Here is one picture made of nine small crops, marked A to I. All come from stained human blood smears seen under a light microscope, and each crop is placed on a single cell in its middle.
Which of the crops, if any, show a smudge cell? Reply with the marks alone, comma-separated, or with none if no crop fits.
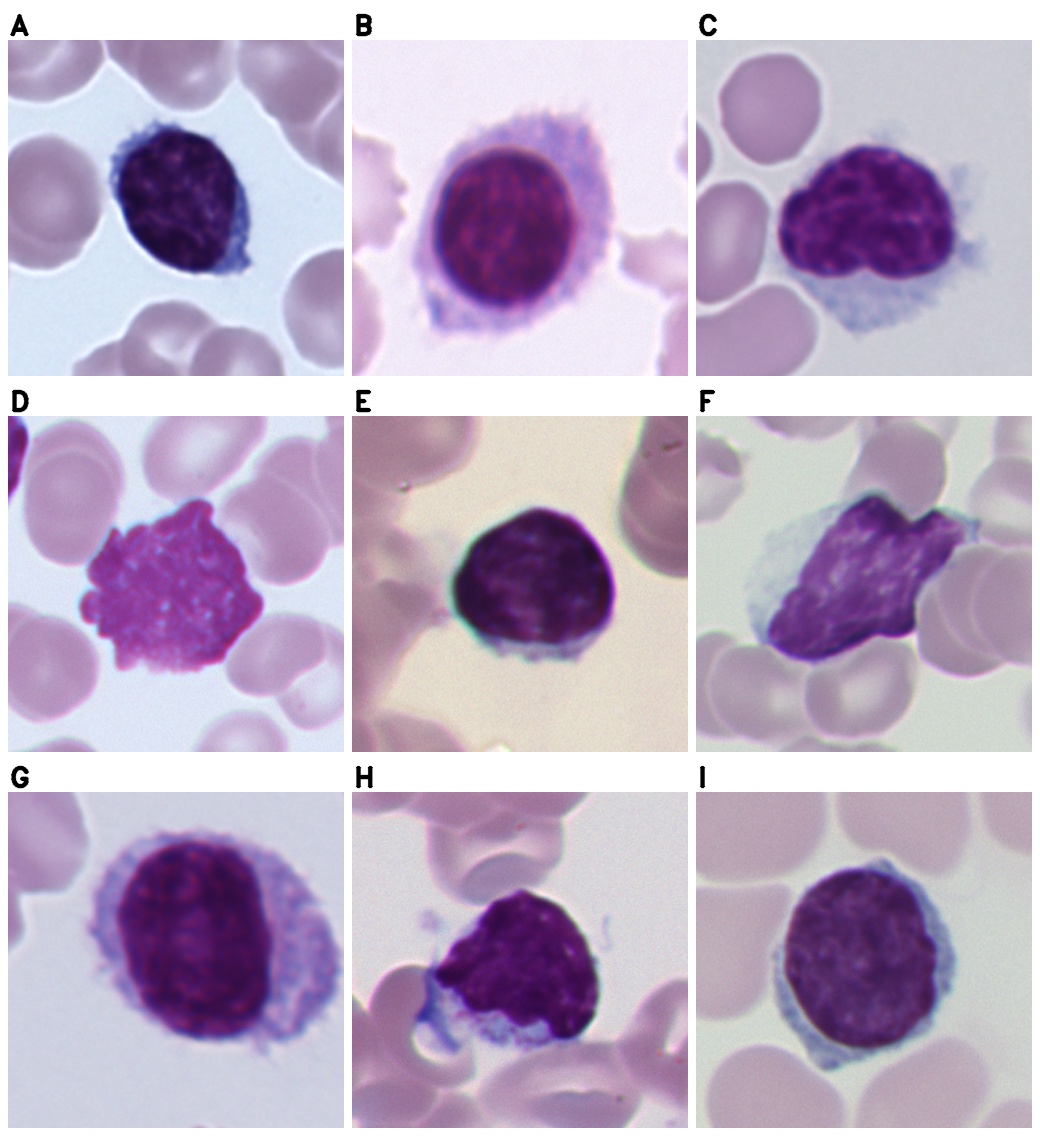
D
